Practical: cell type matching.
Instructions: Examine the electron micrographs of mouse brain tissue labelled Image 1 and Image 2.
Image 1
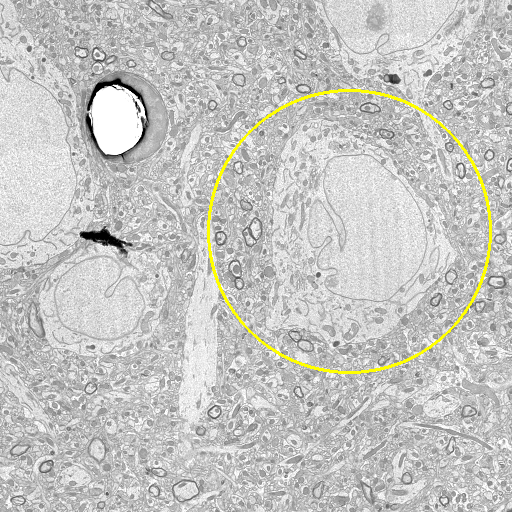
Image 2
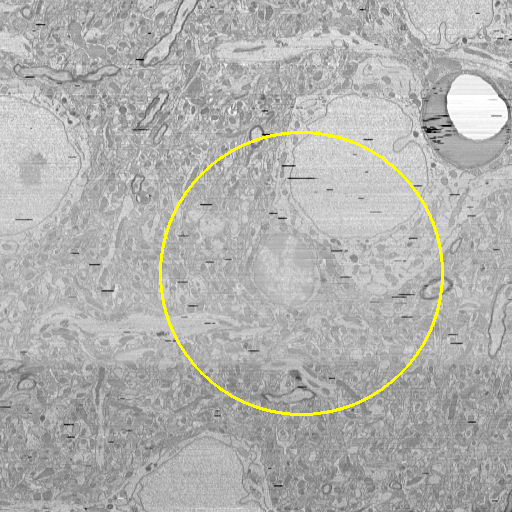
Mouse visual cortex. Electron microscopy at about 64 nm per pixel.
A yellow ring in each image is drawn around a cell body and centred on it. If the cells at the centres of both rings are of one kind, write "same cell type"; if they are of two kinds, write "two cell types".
two cell types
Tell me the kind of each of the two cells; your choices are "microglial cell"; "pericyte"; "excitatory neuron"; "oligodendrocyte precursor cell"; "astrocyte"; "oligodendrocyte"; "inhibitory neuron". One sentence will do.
The ringed cell is an excitatory neuron in the first picture and an oligodendrocyte in the second picture.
